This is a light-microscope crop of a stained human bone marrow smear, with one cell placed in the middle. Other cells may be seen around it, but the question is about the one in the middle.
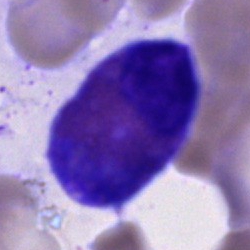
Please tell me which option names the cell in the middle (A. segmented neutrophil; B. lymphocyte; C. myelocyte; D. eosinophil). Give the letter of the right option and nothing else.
D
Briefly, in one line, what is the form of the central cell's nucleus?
In this cell the nucleus is a solitary compact mass, round, oval or kidney-shaped.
